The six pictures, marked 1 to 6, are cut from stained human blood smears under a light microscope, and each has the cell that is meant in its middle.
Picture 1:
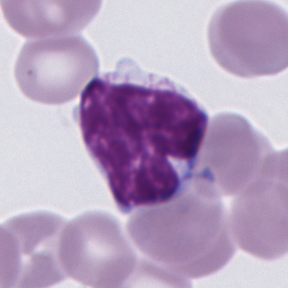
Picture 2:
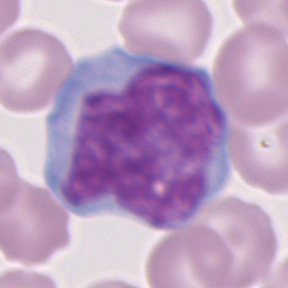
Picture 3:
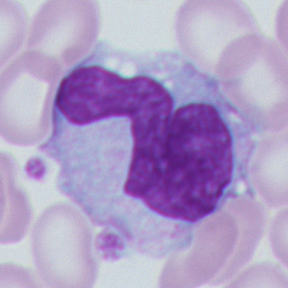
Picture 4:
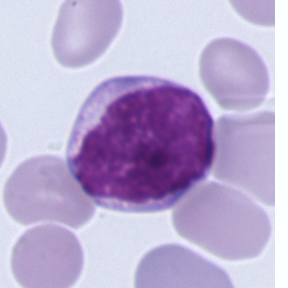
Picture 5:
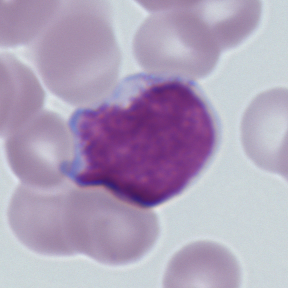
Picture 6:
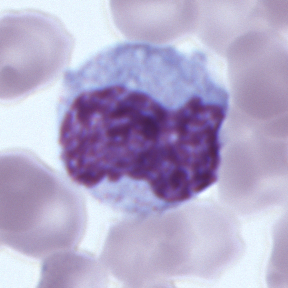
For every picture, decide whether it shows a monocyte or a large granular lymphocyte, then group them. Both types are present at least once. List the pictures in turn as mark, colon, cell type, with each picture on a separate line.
1: large granular lymphocyte
2: monocyte
3: monocyte
4: large granular lymphocyte
5: large granular lymphocyte
6: monocyte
